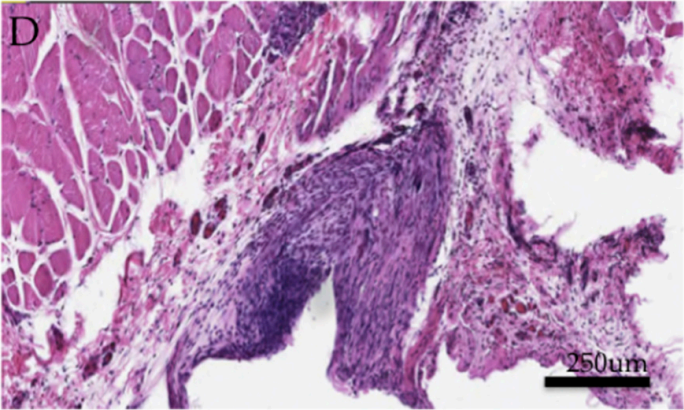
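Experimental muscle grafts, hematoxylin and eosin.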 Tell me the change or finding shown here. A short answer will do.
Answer: Active inflammatory response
